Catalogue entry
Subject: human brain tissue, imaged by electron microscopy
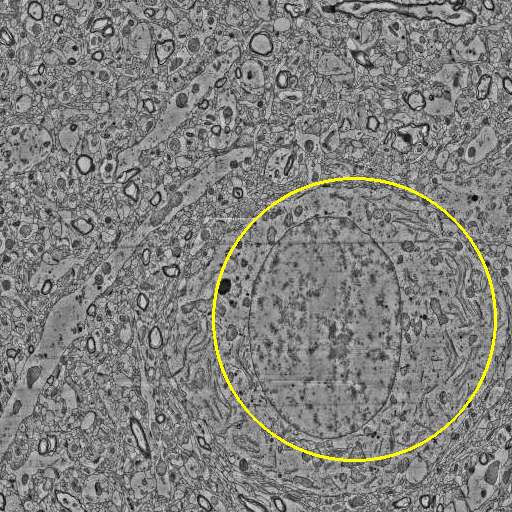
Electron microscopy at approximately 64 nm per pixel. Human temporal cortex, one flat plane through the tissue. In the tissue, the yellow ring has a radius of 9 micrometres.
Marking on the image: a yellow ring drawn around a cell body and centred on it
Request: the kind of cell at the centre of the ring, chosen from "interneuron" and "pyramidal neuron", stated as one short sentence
The ring has an interneuron at its centre.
